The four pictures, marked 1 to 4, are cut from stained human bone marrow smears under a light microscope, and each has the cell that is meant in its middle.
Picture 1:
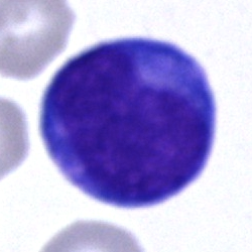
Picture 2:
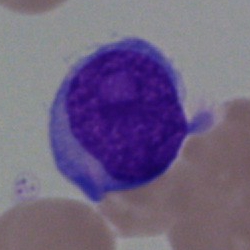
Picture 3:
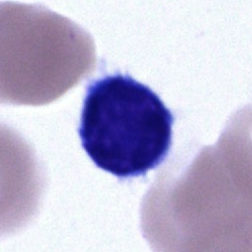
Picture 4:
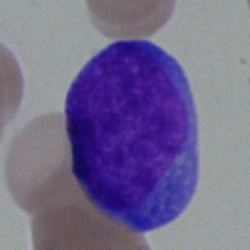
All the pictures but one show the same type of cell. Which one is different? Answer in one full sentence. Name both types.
The others show blasts, but picture 3 shows a lymphocyte.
